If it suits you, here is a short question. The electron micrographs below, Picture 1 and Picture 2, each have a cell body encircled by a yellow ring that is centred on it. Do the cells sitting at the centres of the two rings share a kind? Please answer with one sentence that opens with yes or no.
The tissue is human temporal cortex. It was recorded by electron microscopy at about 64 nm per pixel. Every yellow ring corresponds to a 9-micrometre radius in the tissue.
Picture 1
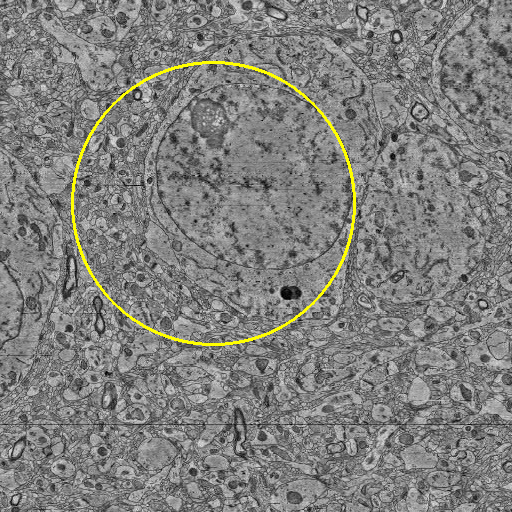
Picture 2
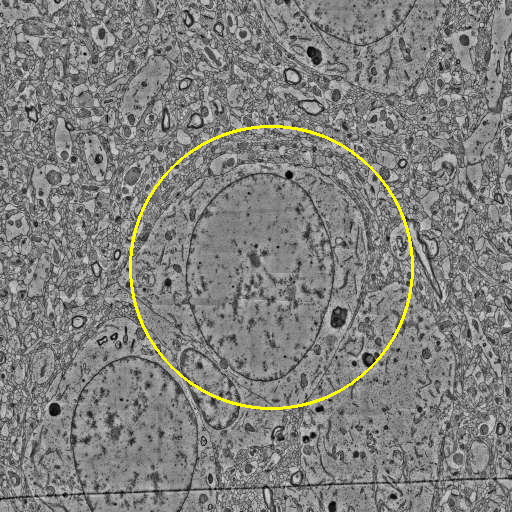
Yes, the two cells sitting at the ring centres share a single kind.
